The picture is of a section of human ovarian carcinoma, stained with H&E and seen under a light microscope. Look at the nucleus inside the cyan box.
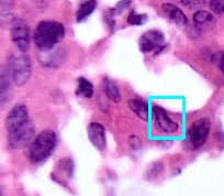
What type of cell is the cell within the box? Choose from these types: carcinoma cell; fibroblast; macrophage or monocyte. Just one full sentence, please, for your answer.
In the stained section, the cell within the box is a macrophage or monocyte.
